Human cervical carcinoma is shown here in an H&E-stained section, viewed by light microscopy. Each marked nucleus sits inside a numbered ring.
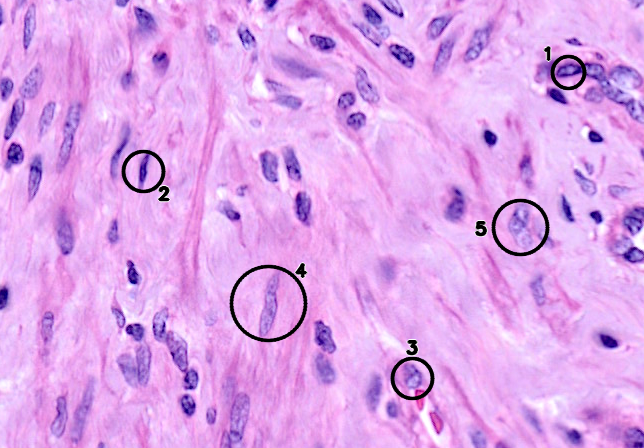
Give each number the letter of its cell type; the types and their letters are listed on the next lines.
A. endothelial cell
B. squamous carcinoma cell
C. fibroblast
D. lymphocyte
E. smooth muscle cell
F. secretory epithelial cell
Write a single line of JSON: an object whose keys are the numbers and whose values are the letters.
{"1": "A", "2": "C", "3": "A", "4": "E", "5": "E"}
